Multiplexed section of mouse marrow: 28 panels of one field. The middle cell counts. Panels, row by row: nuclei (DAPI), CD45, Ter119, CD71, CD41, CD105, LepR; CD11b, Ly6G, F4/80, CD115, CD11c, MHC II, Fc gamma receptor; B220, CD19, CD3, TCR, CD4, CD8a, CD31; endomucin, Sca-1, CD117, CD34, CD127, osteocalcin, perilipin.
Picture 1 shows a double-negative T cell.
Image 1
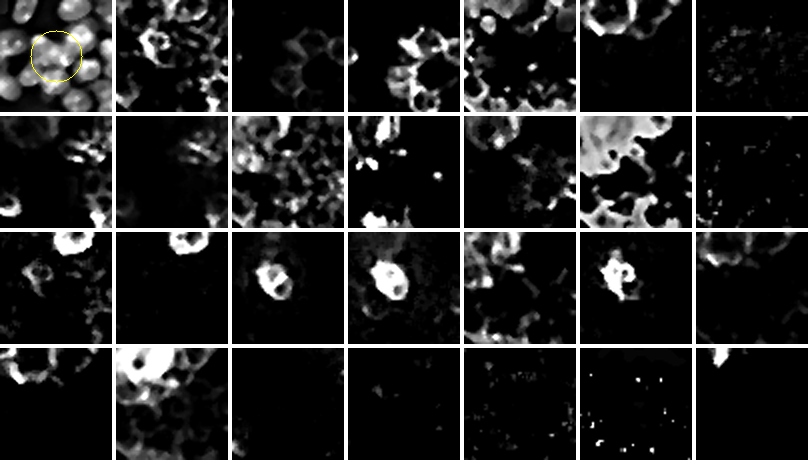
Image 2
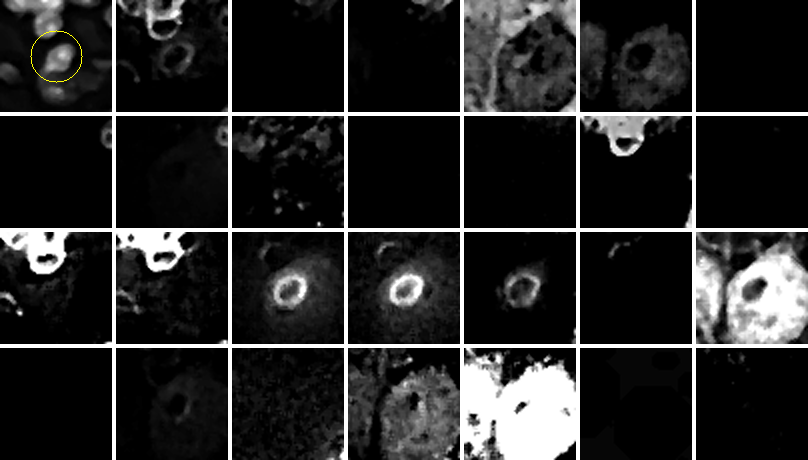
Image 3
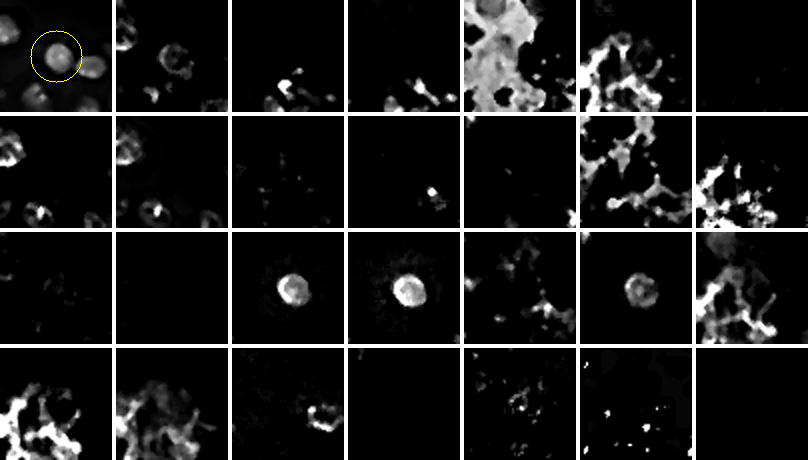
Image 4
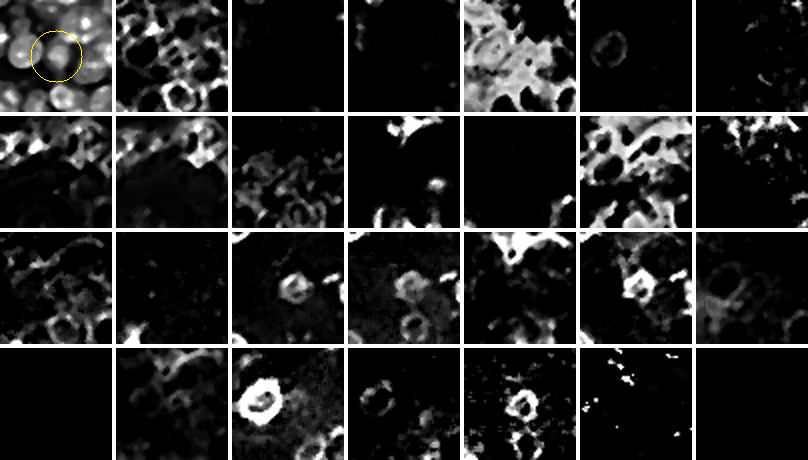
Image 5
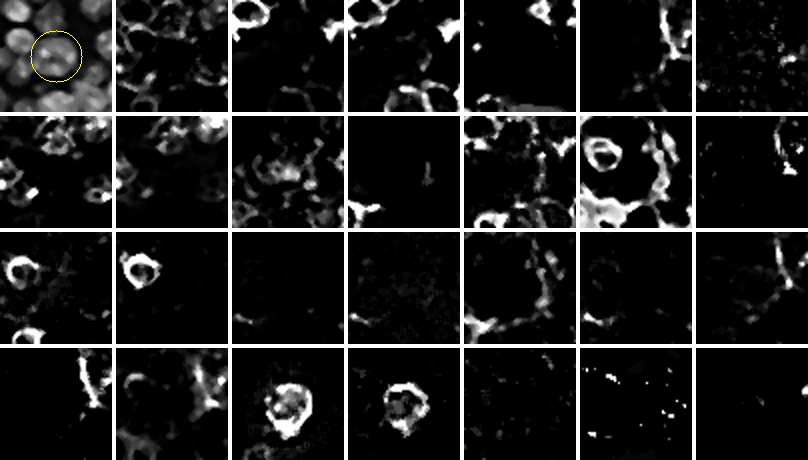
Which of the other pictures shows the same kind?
Picture 3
